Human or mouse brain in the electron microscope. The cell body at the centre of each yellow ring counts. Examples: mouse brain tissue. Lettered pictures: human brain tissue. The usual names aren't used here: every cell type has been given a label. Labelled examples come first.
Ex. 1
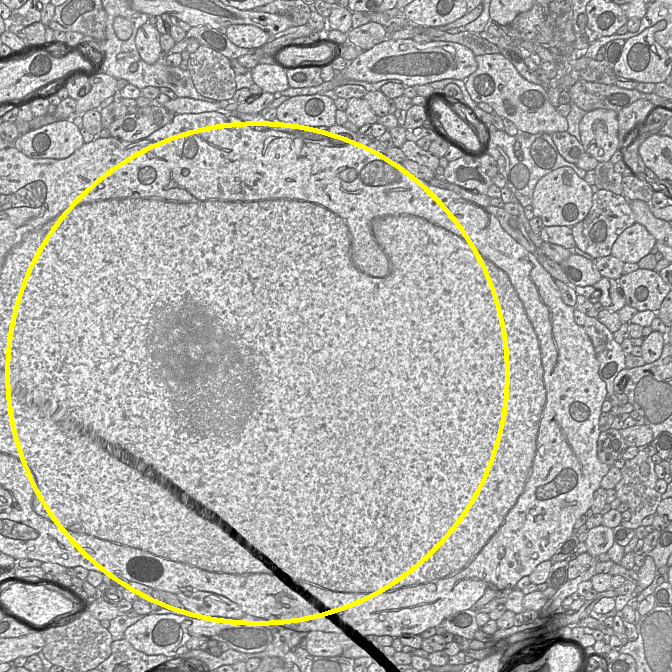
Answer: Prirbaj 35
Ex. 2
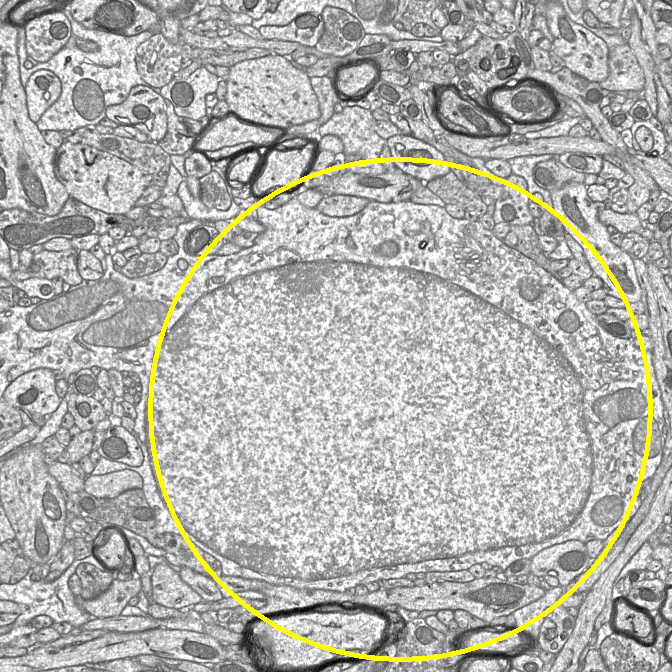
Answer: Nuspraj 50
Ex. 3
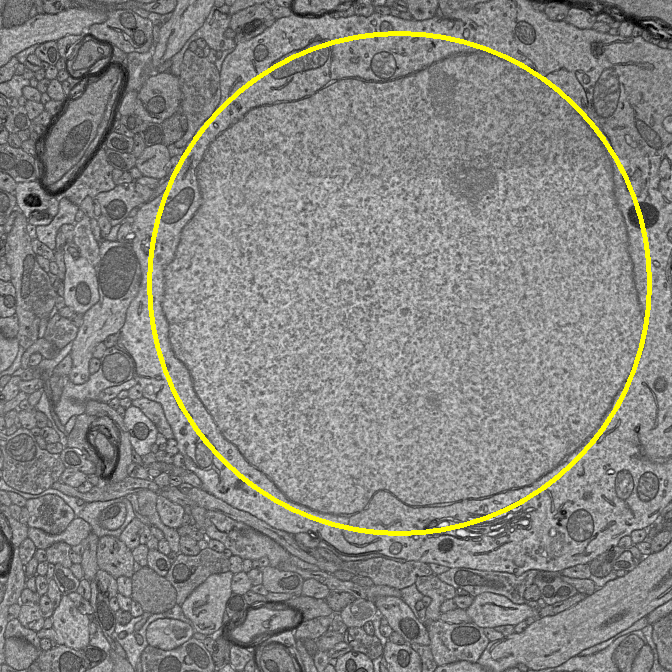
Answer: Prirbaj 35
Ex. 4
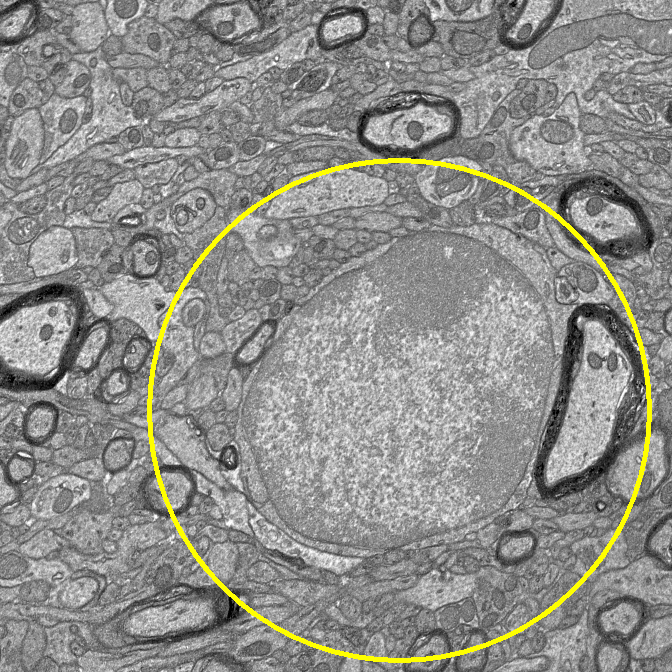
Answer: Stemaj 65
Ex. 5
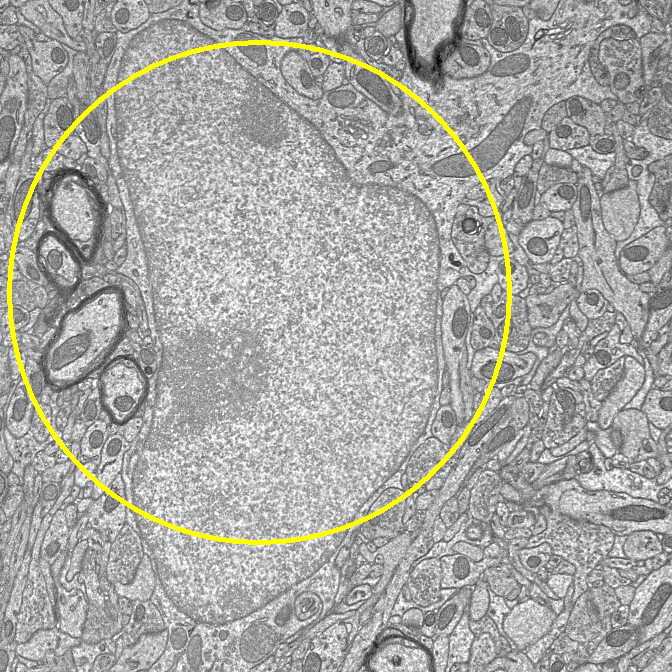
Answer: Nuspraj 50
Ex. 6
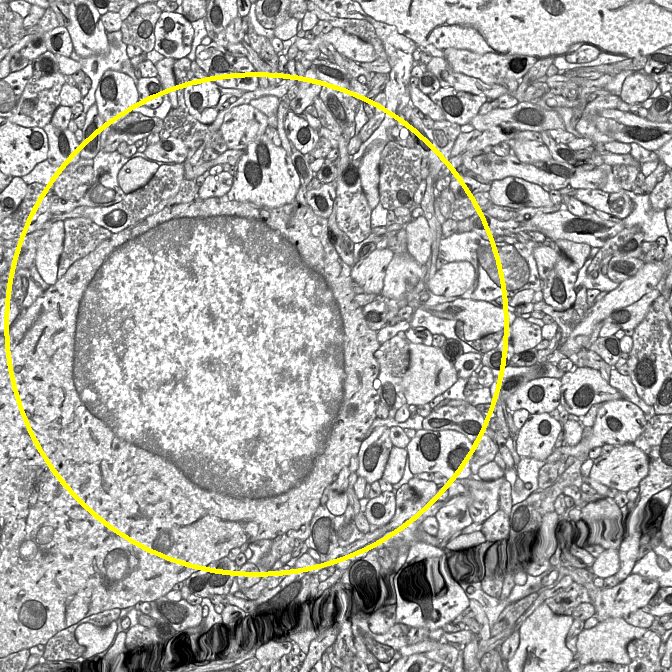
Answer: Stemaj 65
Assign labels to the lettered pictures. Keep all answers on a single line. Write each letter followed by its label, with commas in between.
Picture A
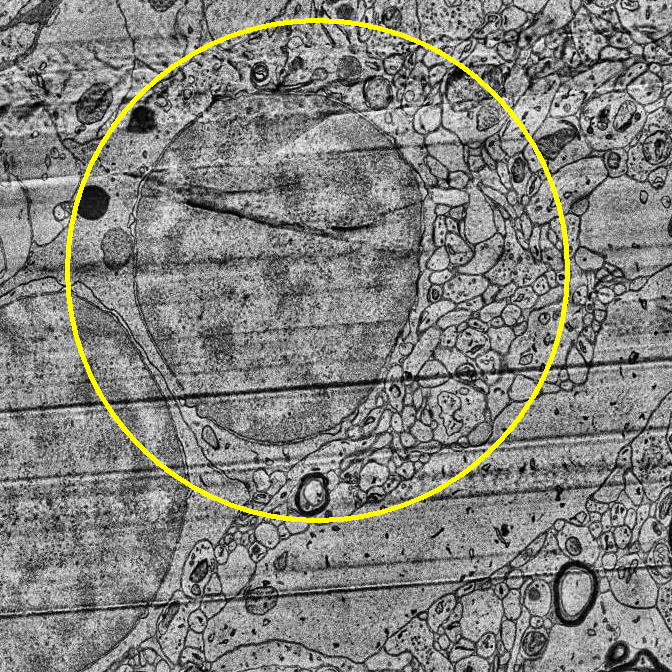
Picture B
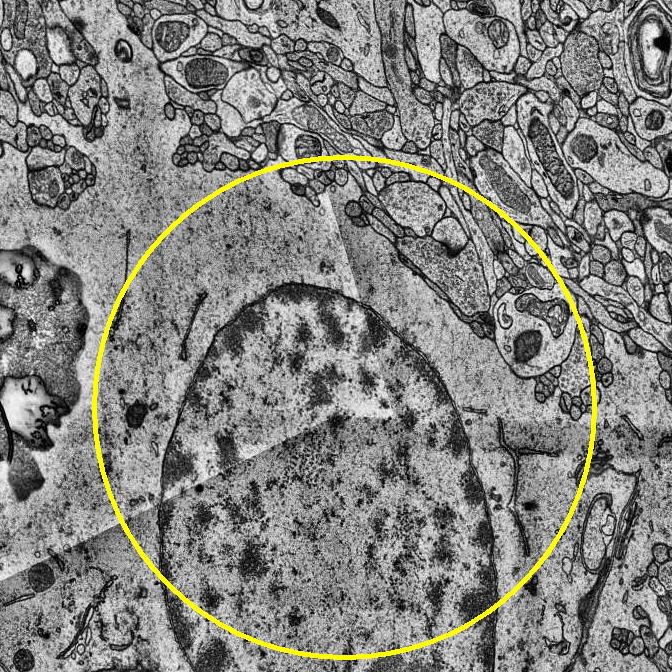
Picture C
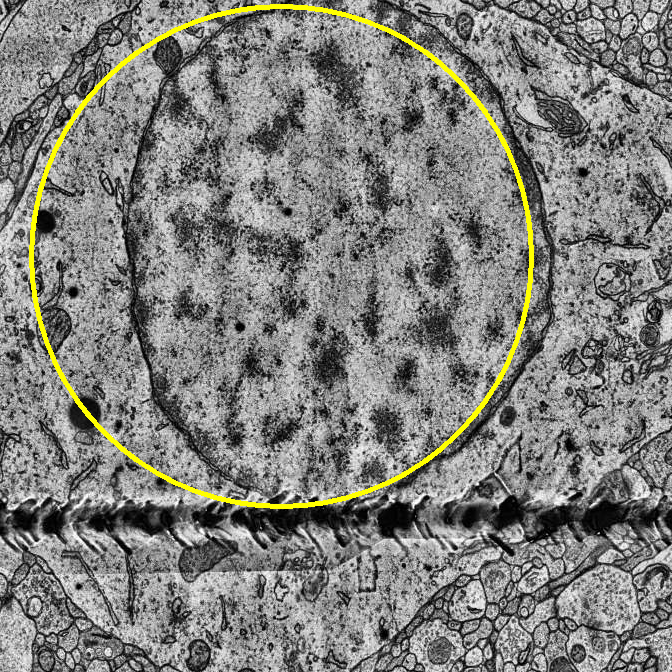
A Stemaj 65, B Nuspraj 50, C Prirbaj 35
